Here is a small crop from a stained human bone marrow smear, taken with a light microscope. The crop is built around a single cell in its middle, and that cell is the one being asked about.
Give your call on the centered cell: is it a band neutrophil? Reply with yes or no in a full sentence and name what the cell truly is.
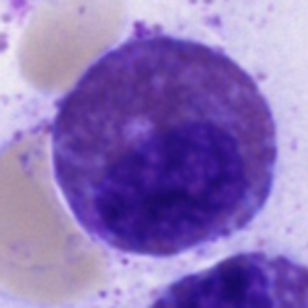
No, the label for the central cell is an eosinophil, not a band neutrophil.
